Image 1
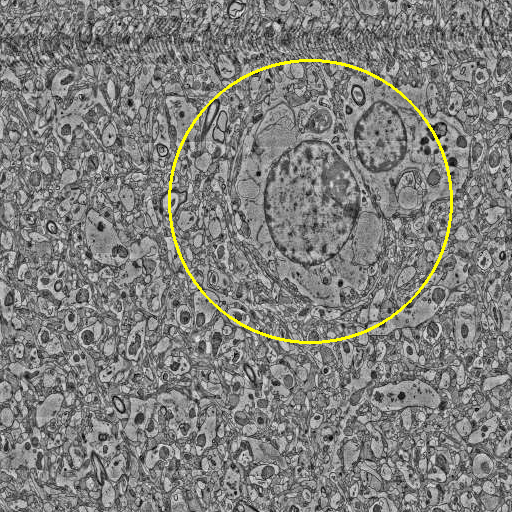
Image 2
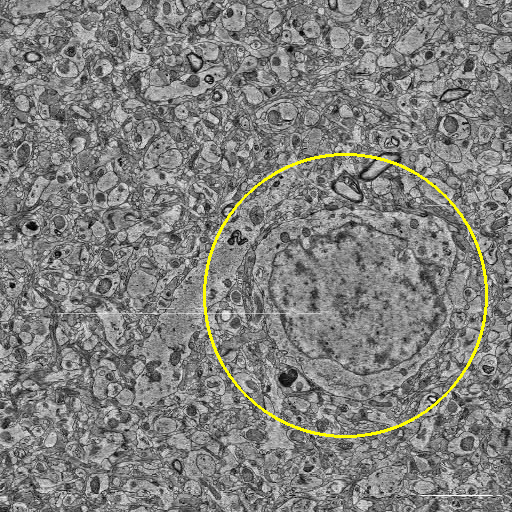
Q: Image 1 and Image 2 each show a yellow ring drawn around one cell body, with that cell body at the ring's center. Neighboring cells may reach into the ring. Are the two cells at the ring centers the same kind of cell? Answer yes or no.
no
